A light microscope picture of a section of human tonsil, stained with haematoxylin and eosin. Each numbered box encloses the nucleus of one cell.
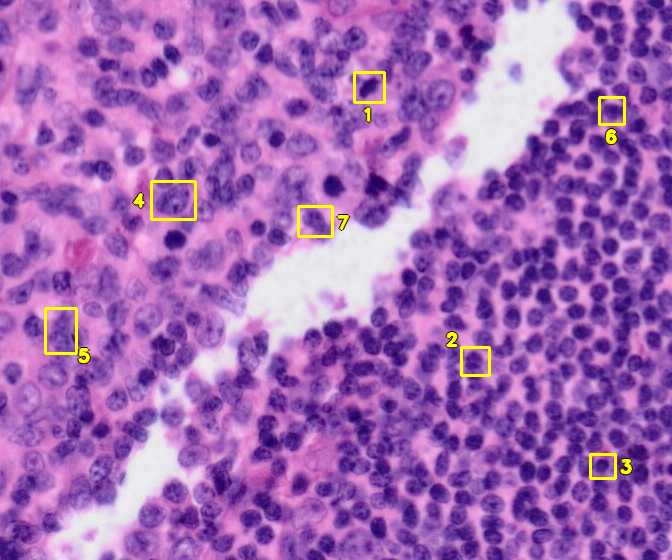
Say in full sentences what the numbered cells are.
Cells 1, 4, 5 and 7 are proliferating B cells. Cells 2, 3 and 6 are small lymphocytes.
